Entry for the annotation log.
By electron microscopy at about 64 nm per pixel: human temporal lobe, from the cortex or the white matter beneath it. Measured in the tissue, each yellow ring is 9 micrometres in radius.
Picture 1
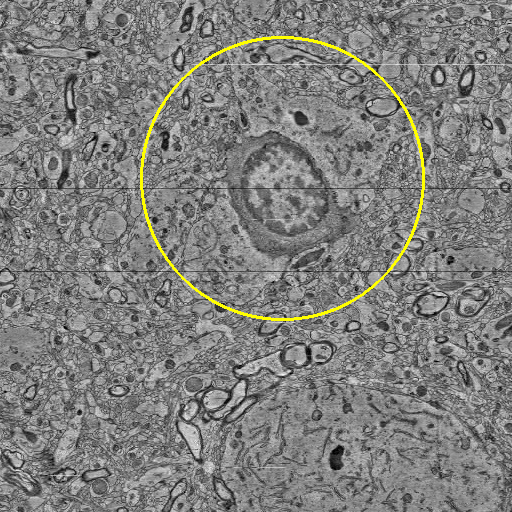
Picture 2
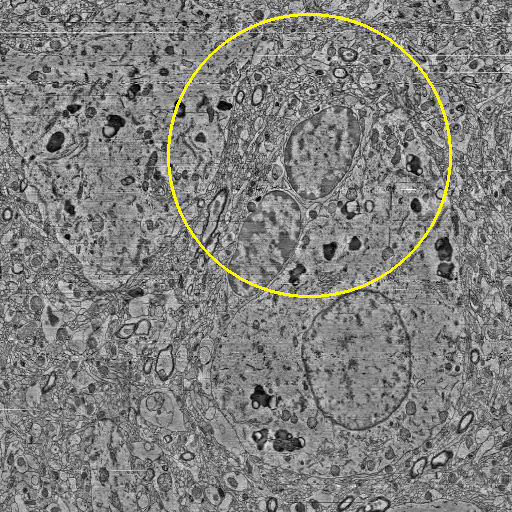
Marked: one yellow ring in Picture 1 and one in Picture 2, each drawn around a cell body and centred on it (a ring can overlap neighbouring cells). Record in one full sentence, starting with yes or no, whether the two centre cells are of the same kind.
No, the two cells are of two kinds.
